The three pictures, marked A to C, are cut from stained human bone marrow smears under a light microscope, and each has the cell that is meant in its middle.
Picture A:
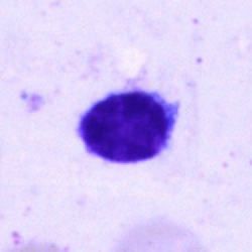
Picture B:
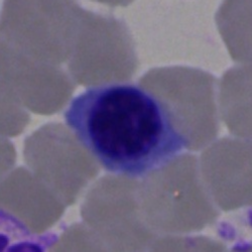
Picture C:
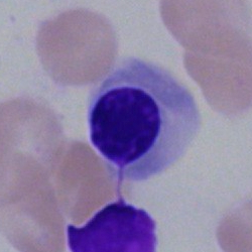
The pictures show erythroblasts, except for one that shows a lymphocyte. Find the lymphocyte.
A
